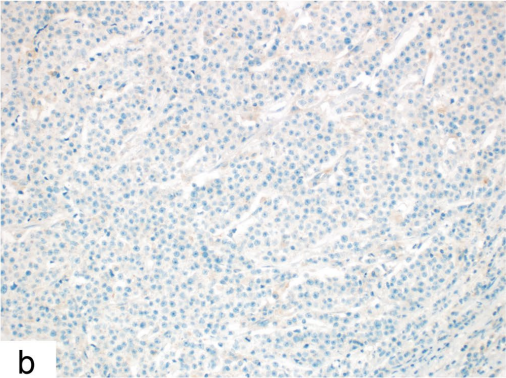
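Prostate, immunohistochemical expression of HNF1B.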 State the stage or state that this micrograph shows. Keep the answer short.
Poorly differentiated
